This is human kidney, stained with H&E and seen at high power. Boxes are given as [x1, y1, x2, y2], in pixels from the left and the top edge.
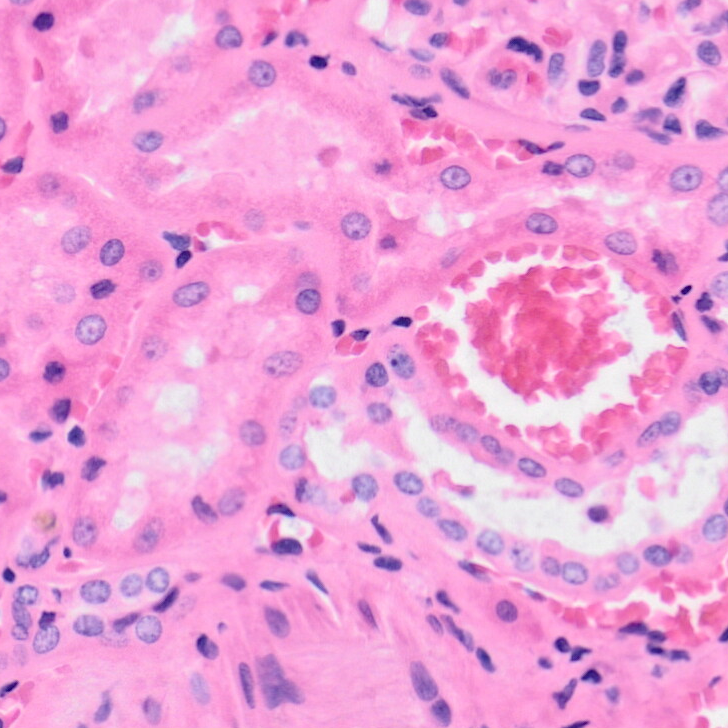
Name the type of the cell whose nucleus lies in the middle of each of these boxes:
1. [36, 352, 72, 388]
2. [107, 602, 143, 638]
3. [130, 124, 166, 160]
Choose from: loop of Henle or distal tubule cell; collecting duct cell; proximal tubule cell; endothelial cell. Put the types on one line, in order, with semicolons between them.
proximal tubule cell; collecting duct cell; proximal tubule cell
